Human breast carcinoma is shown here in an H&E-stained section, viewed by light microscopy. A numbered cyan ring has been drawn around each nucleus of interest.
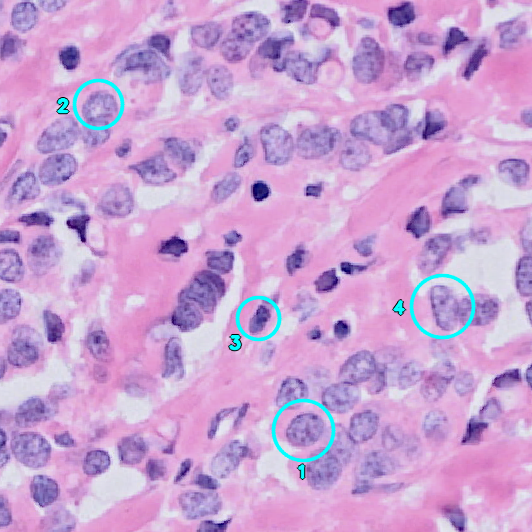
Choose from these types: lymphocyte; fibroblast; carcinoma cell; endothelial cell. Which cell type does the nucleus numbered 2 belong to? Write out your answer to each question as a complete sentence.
The cell that carries the label 2 is a carcinoma cell.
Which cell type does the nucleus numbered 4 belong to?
The cell to which the number 4 is assigned is a carcinoma cell.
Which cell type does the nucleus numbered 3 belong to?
The cell numbered 3 has been identified as a lymphocyte.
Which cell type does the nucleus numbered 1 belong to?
The cell that bears the number 1 is a carcinoma cell.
